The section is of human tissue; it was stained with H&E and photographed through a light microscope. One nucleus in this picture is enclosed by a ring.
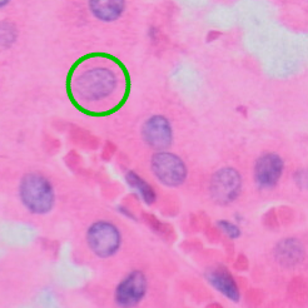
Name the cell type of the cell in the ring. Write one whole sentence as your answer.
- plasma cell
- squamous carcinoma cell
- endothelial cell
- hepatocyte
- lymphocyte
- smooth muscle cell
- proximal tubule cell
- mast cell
Right, so the cell in the ring is a proximal tubule cell, to answer that.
